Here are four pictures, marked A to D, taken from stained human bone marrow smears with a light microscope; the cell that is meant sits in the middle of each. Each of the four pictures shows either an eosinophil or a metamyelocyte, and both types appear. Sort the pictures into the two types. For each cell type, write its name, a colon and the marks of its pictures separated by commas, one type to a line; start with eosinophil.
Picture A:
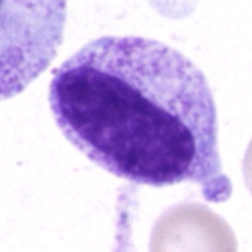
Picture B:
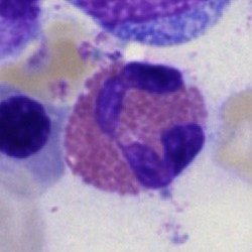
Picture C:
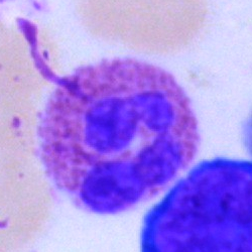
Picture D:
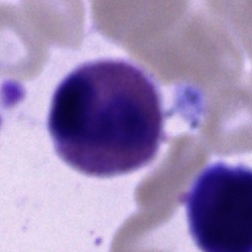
eosinophil: B, C, D
metamyelocyte: A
